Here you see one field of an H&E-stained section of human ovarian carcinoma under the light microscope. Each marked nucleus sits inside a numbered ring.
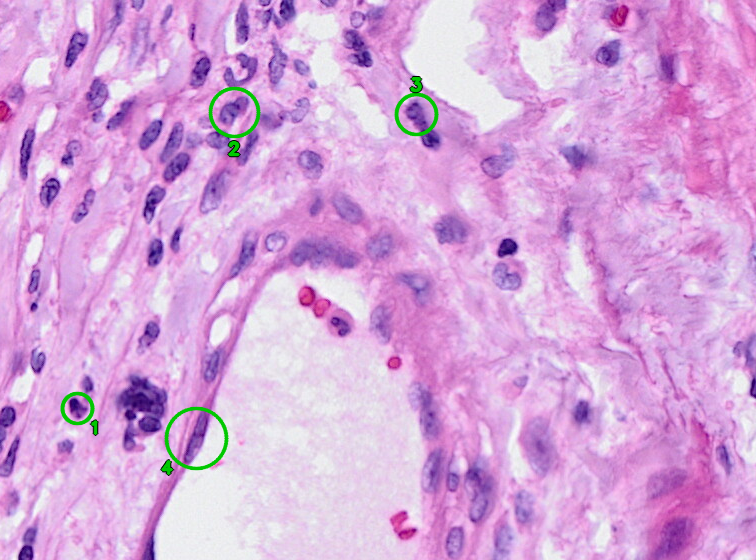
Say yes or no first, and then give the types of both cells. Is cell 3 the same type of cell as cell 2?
Yes, by cell type, cells 3 and 2 are both macrophages or monocytes.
